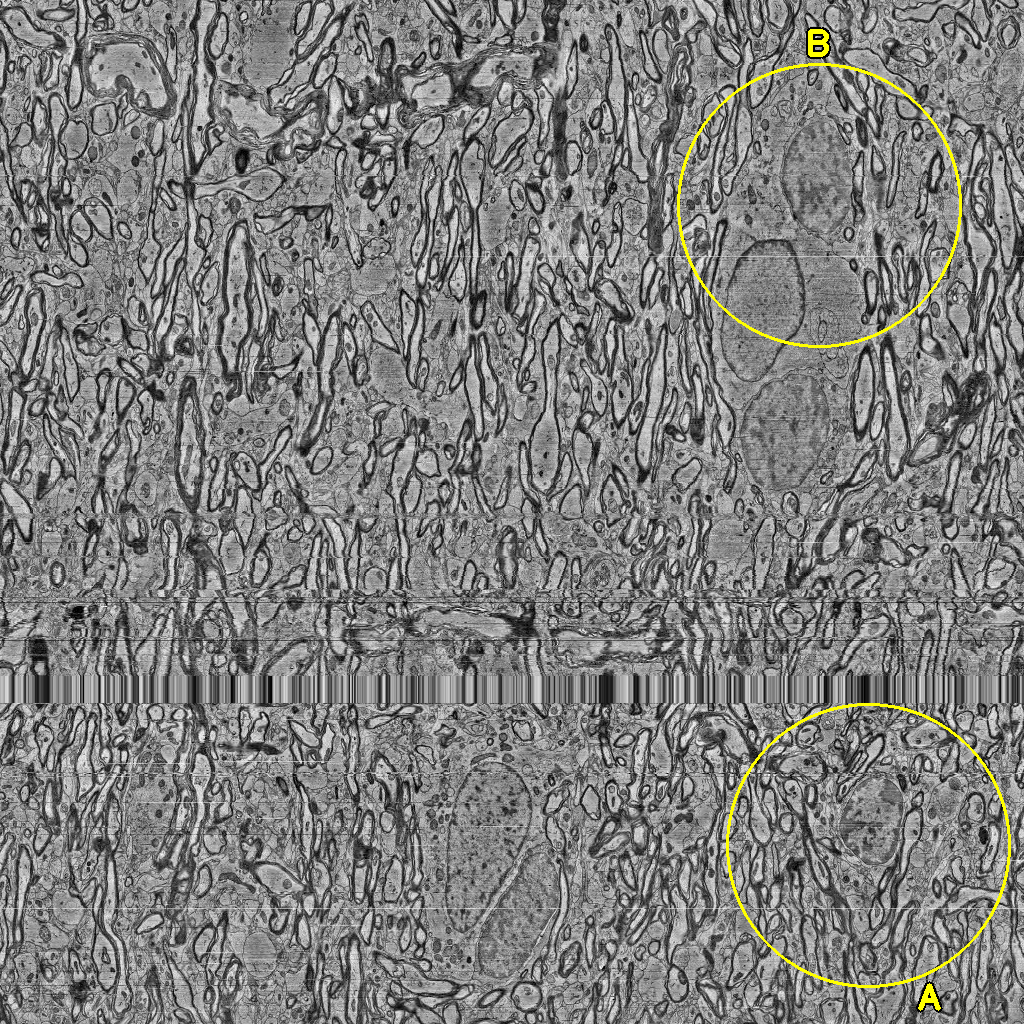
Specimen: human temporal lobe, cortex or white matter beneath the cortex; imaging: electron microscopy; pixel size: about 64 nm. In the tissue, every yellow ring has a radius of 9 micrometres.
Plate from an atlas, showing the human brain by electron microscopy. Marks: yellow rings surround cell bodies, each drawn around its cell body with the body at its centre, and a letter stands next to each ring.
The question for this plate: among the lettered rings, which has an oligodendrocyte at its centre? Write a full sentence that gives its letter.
Ring B holds at its centre the cell that the question asks about in the picture.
